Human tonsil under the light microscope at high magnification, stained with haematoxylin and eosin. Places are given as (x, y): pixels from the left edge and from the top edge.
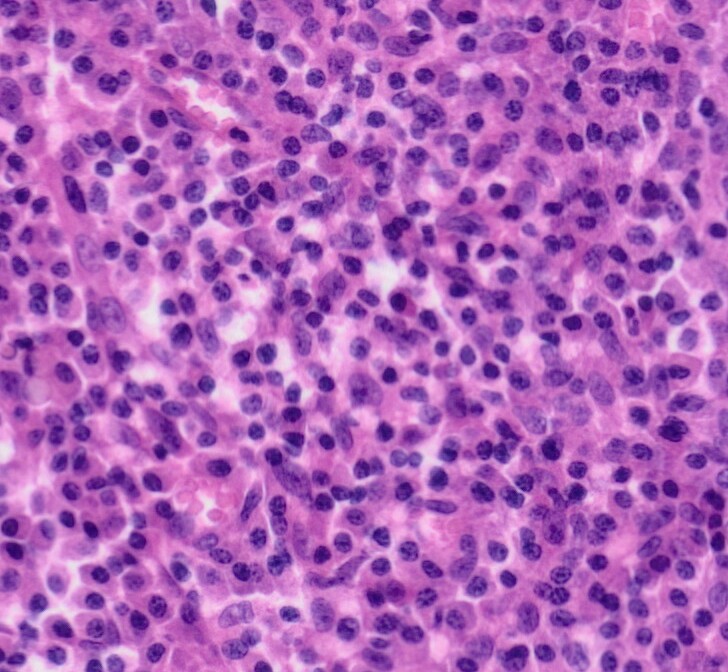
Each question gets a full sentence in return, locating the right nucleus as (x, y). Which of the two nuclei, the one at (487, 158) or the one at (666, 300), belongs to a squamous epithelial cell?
Between the pair, the nucleus at (487, 158) belongs to a squamous epithelial cell.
